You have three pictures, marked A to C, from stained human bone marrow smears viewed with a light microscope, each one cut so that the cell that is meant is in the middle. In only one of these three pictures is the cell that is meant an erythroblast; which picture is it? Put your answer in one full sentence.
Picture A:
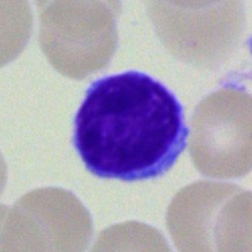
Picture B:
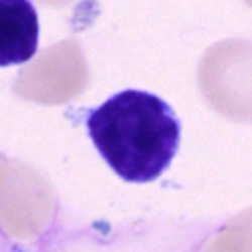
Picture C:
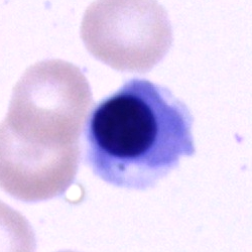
Picture C shows the erythroblast.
